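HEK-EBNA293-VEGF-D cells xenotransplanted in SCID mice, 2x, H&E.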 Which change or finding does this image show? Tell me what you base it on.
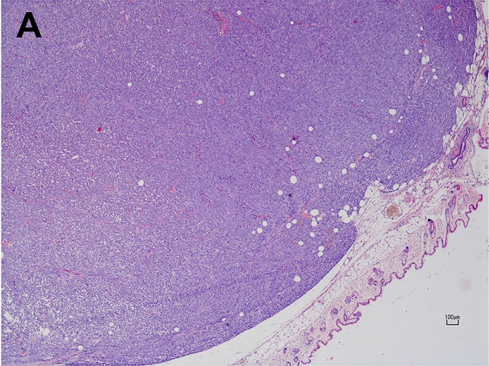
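A large densely cellular purple mass with a sharp rounded border. So: partially encapsulated neoplastic sub-cutaneous mass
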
